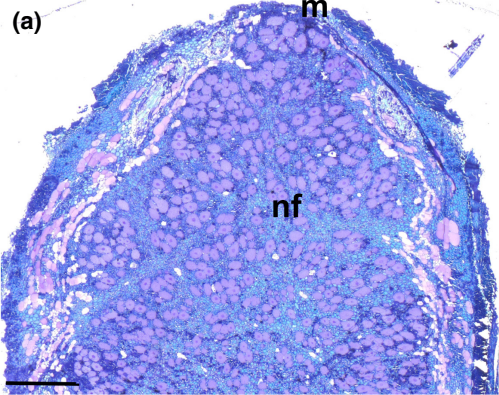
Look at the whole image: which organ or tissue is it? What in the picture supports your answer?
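An elongated organ is cut lengthwise with a rounded tip. A cap of small cells lies at the tip above a large central mass of purple-stained cells.
Hence: indeterminate nodule.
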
